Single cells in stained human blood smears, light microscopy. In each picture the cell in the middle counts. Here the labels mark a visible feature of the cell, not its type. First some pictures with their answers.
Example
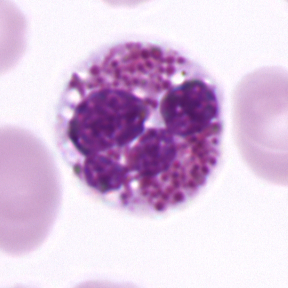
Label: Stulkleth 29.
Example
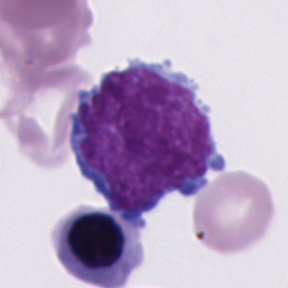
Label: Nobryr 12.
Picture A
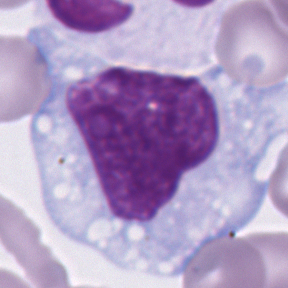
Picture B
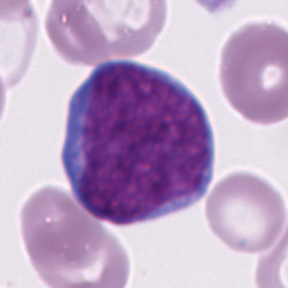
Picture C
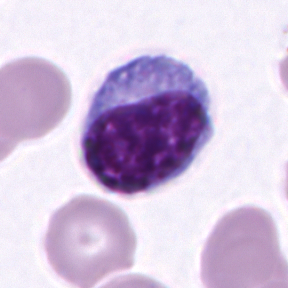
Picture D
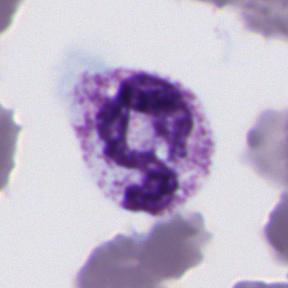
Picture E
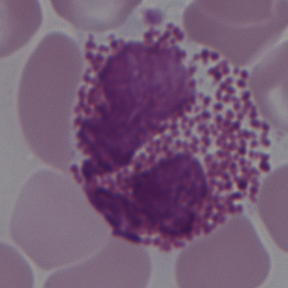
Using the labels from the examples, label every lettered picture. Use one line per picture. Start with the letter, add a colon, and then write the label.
A: Nobryr 12.
B: Stulkleth 29.
C: Stulkleth 29.
D: Stulkleth 29.
E: Nobryr 12.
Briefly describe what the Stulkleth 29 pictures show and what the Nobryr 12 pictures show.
Stulkleth 29: smooth outline; Nobryr 12: ragged outline or projections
